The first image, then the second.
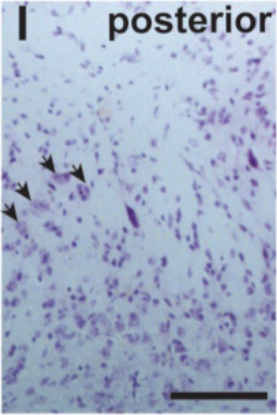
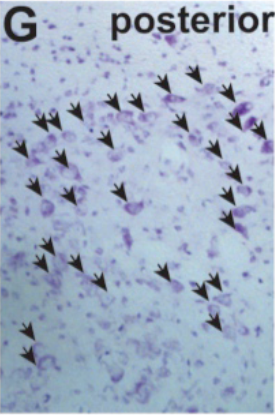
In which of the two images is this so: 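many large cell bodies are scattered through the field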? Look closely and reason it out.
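First image: only a few large violet cell bodies are present among many small nuclei. Second image: numerous large violet cell bodies are spread across the field, many marked by arrows. So: the second image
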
